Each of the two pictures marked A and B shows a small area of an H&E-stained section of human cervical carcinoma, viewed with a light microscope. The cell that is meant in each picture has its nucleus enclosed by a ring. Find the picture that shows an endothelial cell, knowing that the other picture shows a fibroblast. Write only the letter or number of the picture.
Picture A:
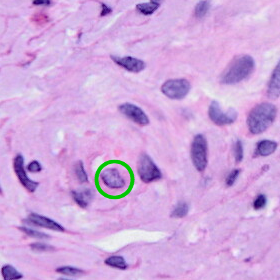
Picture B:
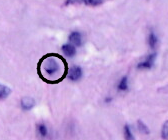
A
